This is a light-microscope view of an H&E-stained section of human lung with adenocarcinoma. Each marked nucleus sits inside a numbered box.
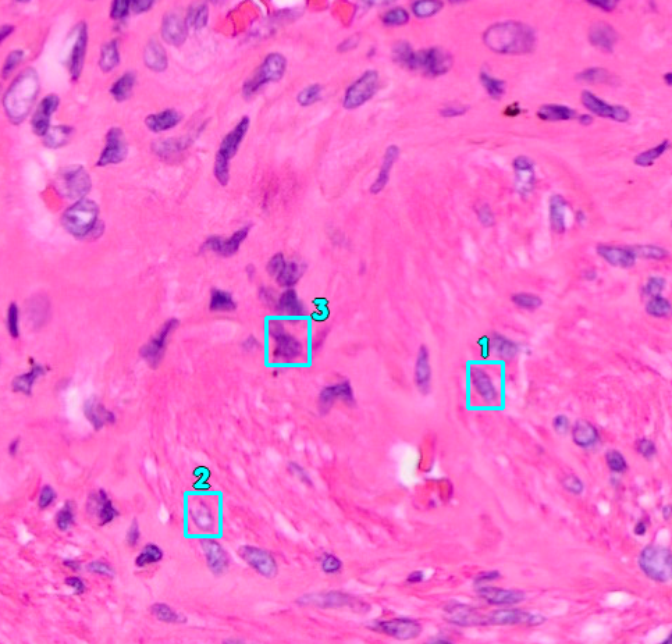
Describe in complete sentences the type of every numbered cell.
Cell 1 is a smooth muscle cell or pericyte, cell 2 is a smooth muscle cell or pericyte and cell 3 is a plasma cell.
